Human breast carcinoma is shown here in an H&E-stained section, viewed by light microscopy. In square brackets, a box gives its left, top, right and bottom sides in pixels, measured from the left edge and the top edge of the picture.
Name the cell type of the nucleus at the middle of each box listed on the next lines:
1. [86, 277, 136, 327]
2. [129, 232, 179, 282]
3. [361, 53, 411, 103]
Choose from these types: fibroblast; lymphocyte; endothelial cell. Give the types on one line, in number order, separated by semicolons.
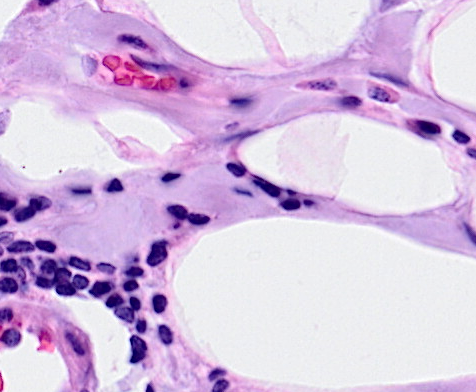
lymphocyte; lymphocyte; fibroblast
